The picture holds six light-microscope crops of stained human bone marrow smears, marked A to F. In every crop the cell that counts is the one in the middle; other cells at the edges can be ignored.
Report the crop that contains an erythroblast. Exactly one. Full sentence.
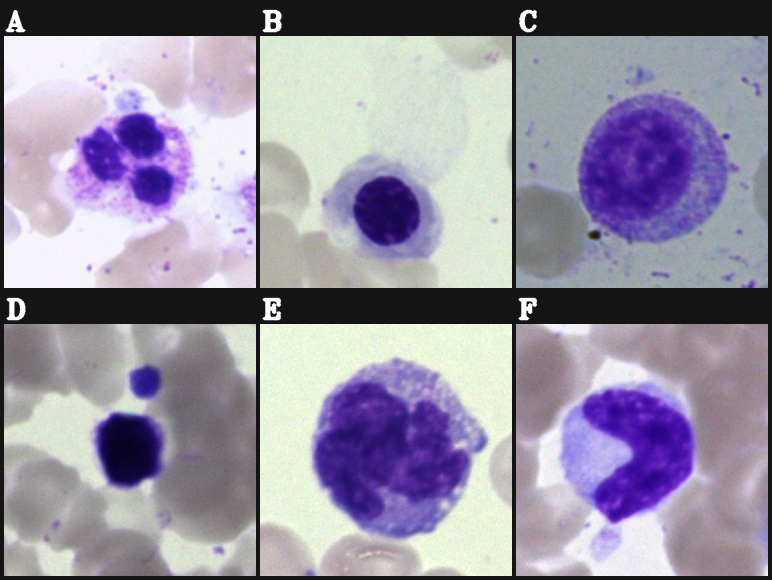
The one that shows an erythroblast is crop B.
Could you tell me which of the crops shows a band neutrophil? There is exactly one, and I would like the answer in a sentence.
Crop F is where a band neutrophil is to be found.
